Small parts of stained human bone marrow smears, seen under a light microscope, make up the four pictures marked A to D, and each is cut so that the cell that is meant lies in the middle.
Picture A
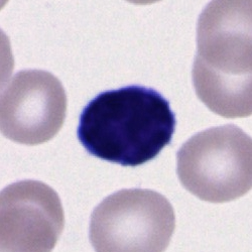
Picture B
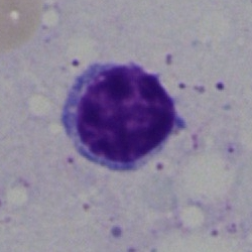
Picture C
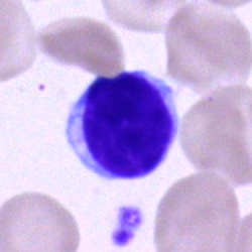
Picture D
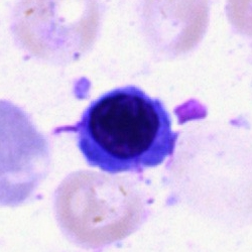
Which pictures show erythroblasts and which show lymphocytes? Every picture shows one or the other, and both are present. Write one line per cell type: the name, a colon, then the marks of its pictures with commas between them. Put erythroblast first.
erythroblast: D
lymphocyte: A, B, C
